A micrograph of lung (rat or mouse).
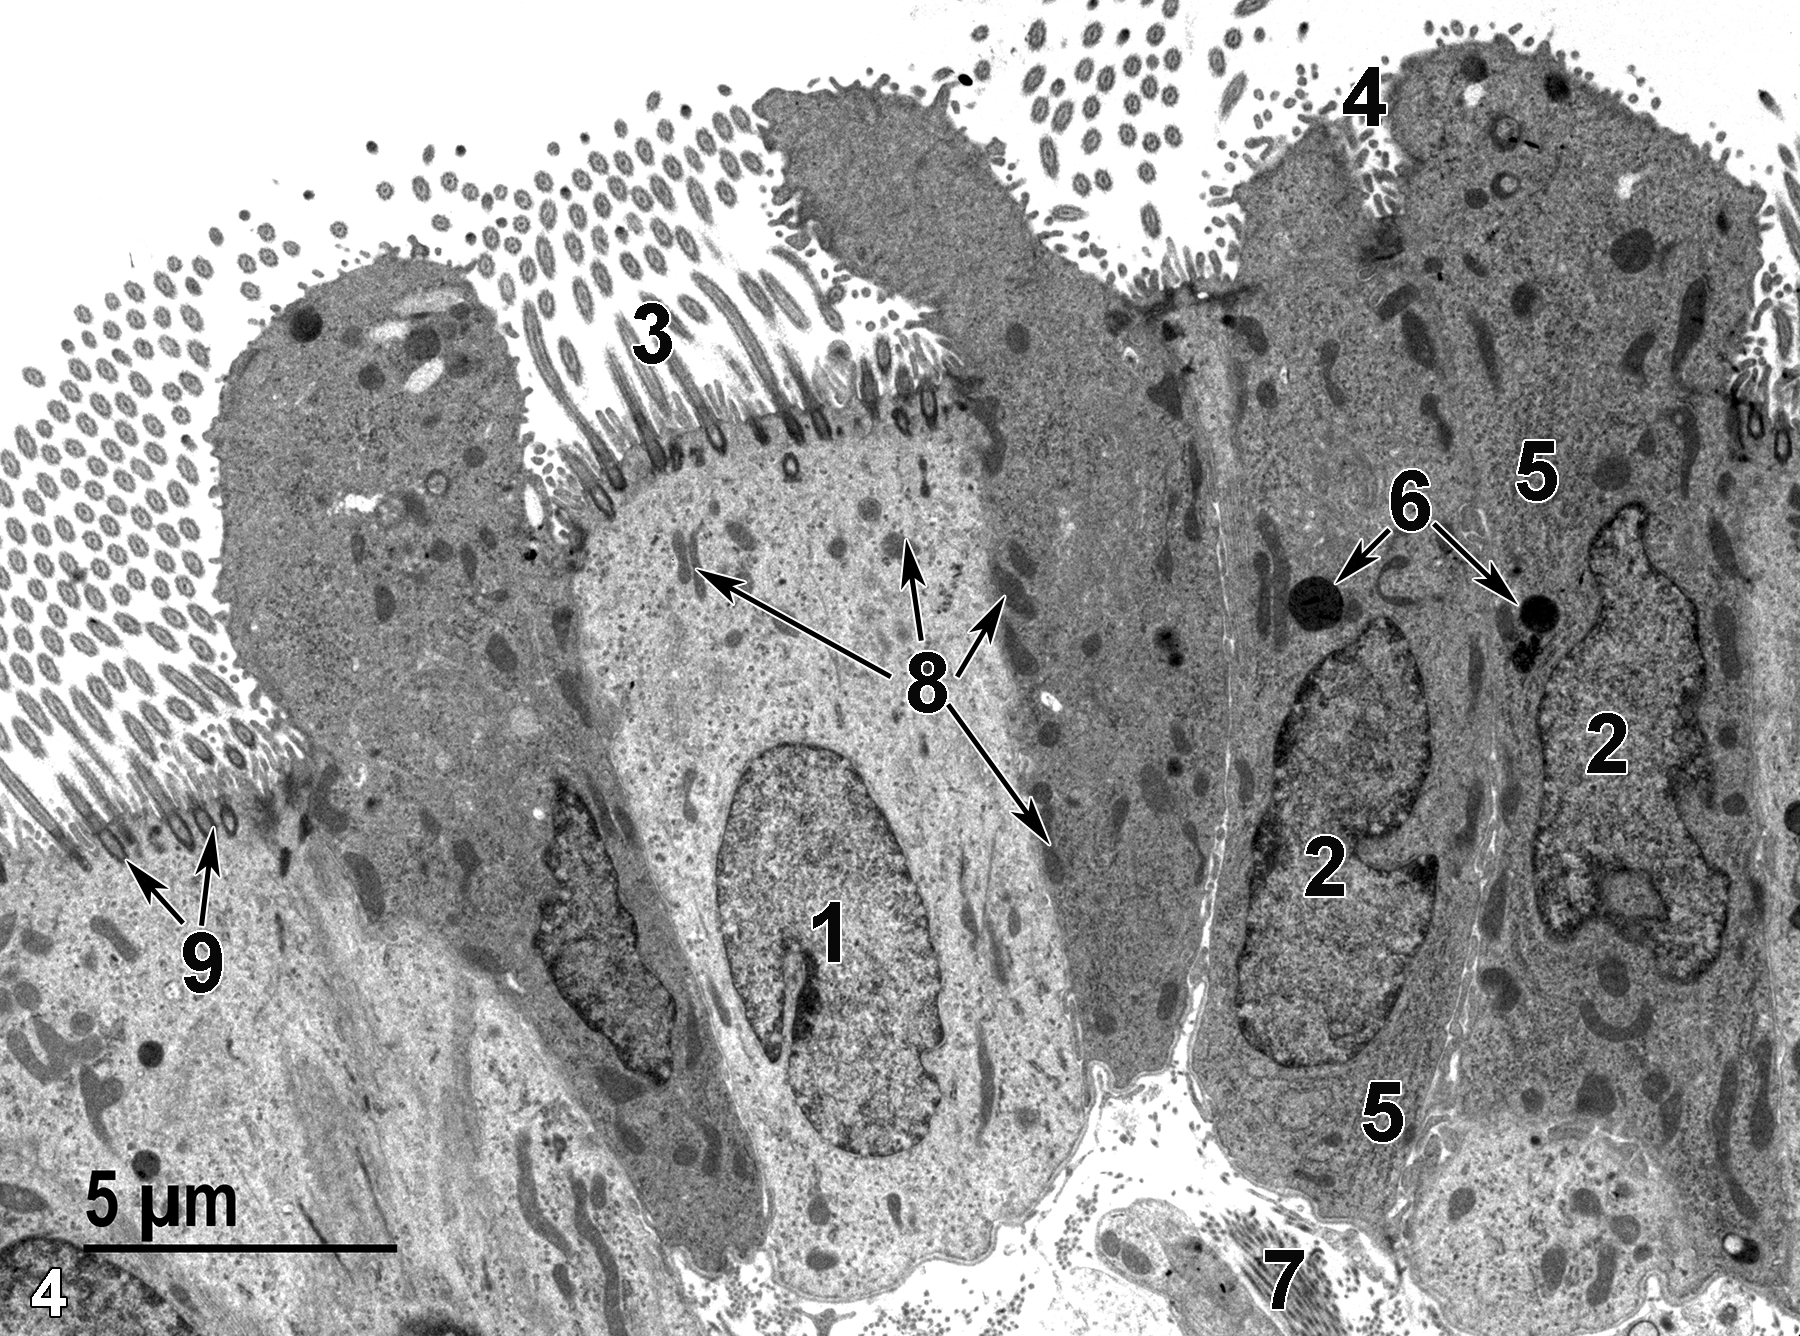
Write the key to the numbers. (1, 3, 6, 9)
1: nuclei of a ciliated cell
3: cilia
6: lysosomes
9: basal bodies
